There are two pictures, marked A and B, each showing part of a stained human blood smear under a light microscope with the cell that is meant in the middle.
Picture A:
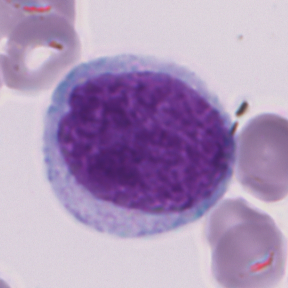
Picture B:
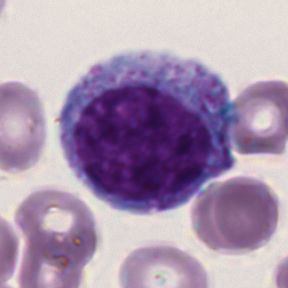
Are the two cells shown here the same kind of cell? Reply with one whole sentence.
Yes, they are the same type: both are promyelocytes.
